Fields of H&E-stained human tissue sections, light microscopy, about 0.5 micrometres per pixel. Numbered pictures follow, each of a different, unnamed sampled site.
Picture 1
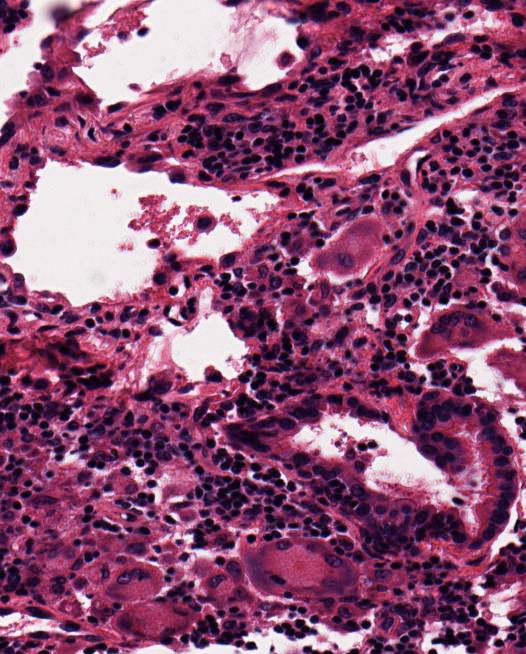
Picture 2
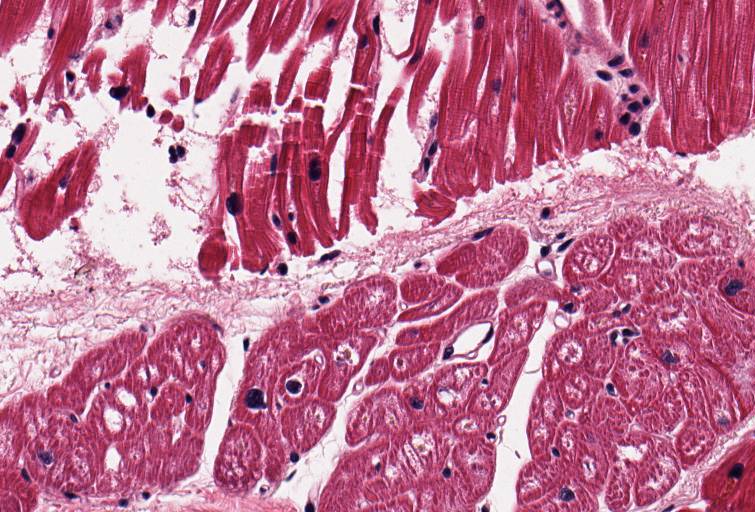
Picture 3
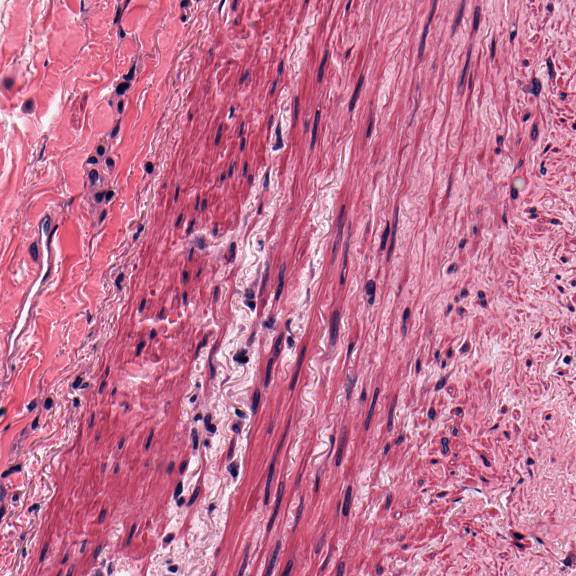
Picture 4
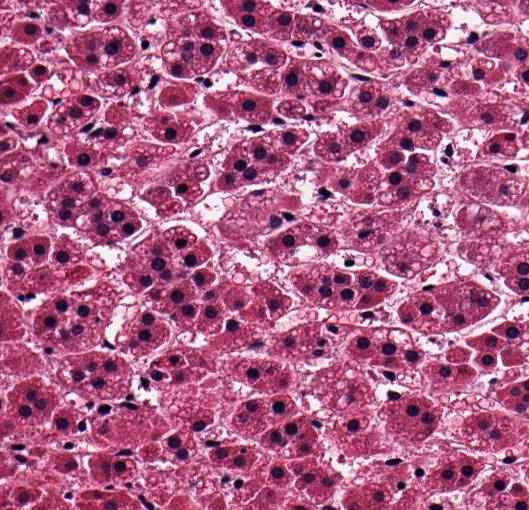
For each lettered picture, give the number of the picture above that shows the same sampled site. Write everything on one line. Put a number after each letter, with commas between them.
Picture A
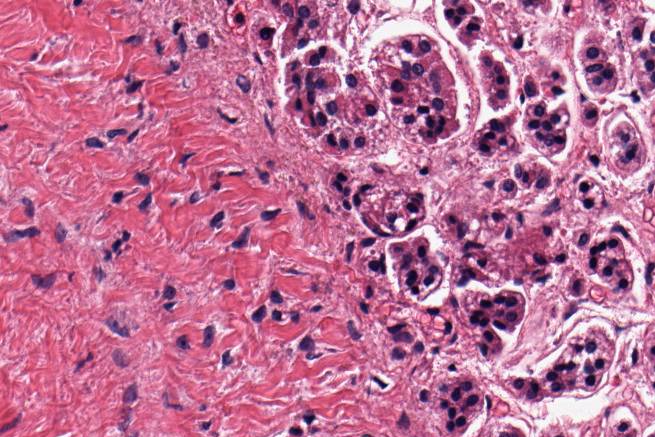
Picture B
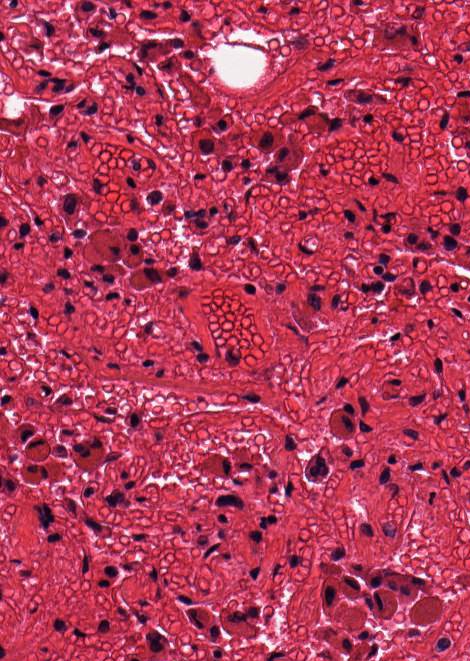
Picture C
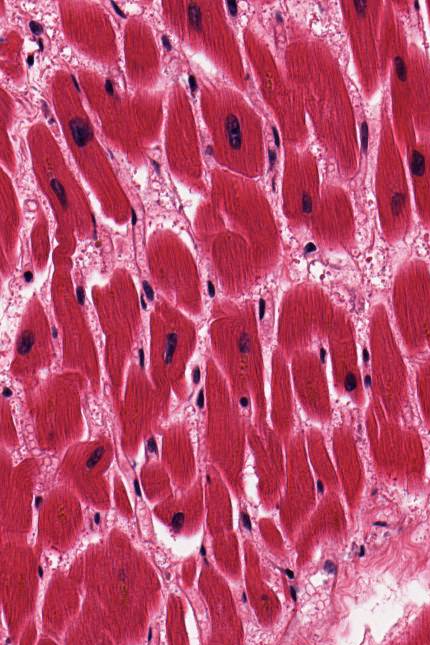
A 4, B 1, C 2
